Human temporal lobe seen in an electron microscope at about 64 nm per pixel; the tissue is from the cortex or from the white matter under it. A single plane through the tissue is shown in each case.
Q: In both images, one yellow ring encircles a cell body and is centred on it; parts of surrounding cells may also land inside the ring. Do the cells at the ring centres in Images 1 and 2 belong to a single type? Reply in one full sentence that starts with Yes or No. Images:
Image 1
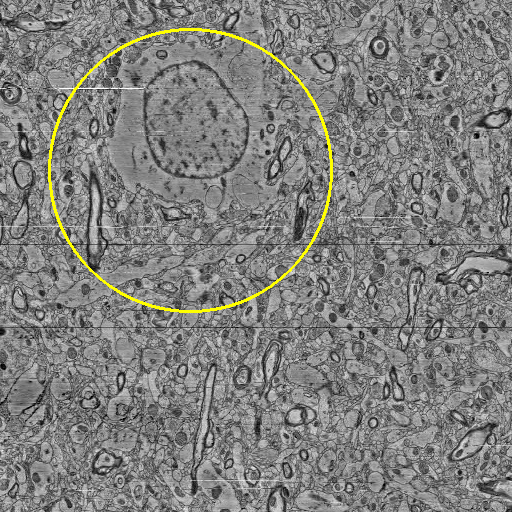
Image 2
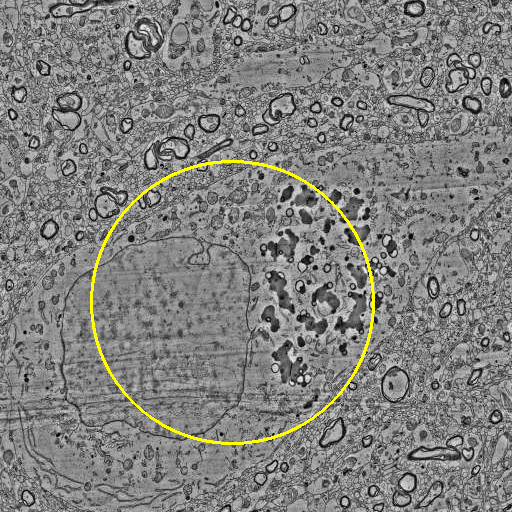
No, the cells at the ring centres in Images 1 and 2 are of two types.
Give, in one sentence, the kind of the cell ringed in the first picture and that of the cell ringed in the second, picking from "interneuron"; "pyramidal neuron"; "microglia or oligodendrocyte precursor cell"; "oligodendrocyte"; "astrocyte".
For the first picture it is an astrocyte; for the second, a pyramidal neuron.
